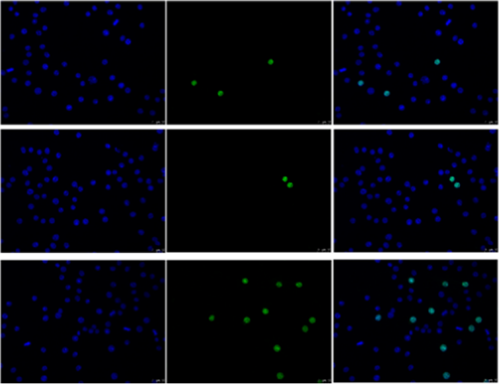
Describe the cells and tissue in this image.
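A grid of nine fluorescence images shows the same kind of cultured cells in three rows, with a blue nuclear channel, a green channel and a merged view in each row. In the green channel, only a few isolated nuclei are labelled, as small round bright dots; the bottom row has more of them than the two rows above. In the merged images, each green dot falls on a blue nucleus and appears cyan, while most nuclei stay blue only.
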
